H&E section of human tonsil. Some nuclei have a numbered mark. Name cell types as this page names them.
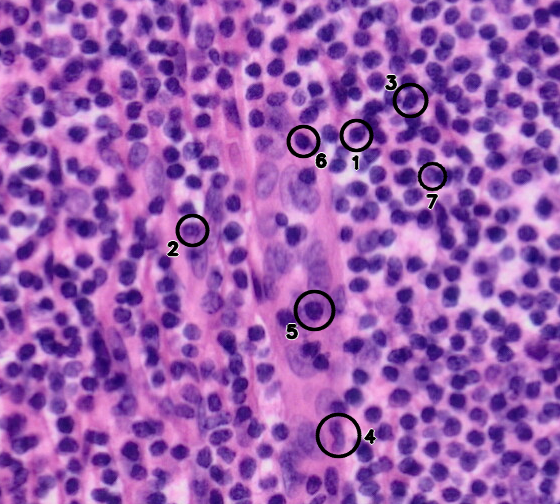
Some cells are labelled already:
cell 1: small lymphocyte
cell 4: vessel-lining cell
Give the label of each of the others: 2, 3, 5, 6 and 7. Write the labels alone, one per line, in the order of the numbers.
vessel-lining cell
small lymphocyte
vessel-lining cell
vessel-lining cell
small lymphocyte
